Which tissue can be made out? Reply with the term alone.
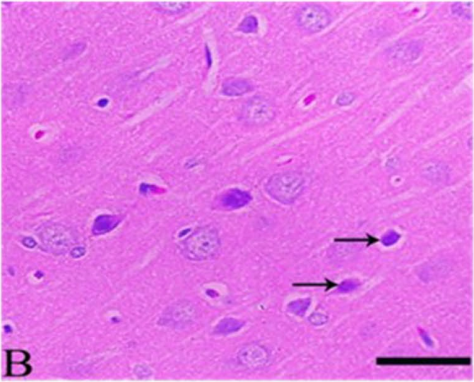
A: cerebral cortex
